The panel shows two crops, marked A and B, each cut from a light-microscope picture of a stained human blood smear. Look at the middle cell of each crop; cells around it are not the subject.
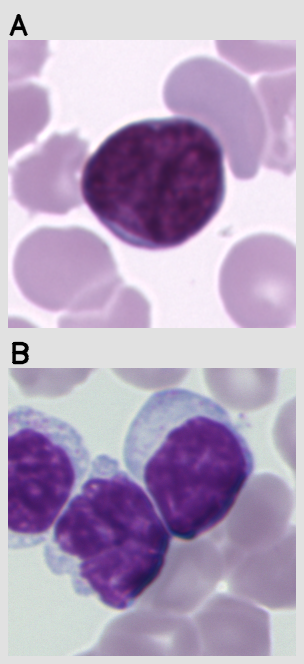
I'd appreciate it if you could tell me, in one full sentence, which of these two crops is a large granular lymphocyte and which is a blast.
Crop A is a blast, with crop B being a large granular lymphocyte.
